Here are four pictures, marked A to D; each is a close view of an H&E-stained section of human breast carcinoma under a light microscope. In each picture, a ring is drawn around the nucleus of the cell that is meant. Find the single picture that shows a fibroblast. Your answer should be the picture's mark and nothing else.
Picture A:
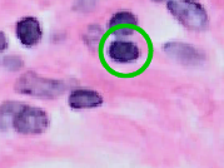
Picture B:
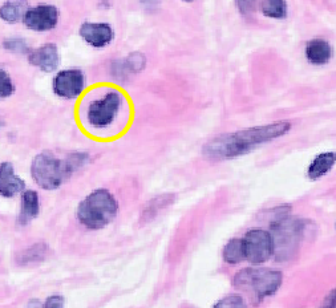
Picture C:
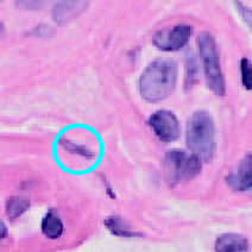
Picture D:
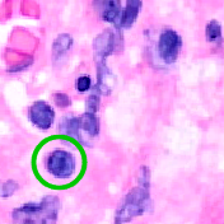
C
